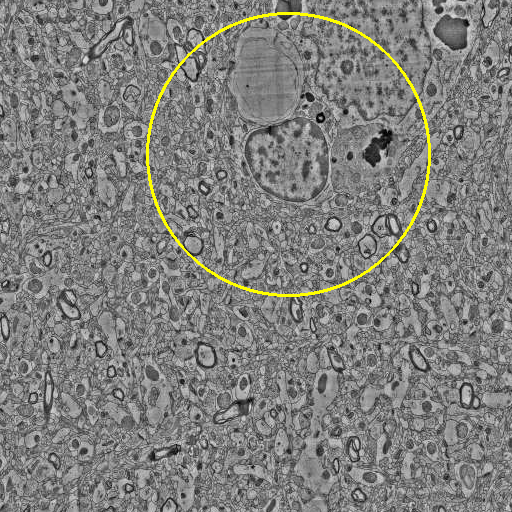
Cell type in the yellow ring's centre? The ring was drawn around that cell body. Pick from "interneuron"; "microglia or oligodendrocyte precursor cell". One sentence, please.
The ringed cell body is that of a microglial cell or oligodendrocyte precursor cell.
